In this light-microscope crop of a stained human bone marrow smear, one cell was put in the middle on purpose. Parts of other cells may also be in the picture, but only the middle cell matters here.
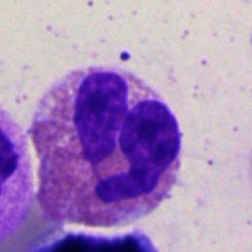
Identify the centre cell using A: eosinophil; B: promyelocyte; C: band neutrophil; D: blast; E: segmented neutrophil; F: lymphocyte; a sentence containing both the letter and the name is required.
The cell in the centre of the crop is an eosinophil, so option A is the correct one.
